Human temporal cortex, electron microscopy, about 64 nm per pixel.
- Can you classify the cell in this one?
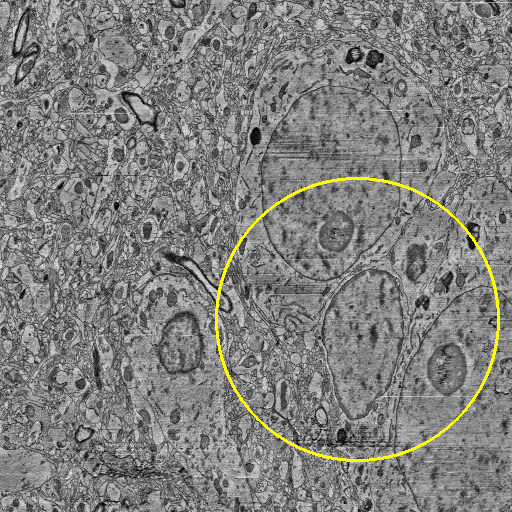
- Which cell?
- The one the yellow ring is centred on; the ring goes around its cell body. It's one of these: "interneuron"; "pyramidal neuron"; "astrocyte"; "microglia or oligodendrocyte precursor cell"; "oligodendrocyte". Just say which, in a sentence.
The cell body in the ring belongs to a microglial cell or oligodendrocyte precursor cell.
